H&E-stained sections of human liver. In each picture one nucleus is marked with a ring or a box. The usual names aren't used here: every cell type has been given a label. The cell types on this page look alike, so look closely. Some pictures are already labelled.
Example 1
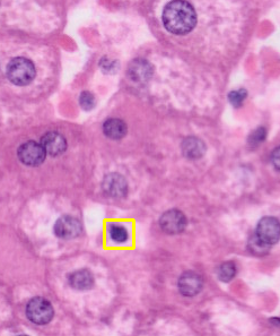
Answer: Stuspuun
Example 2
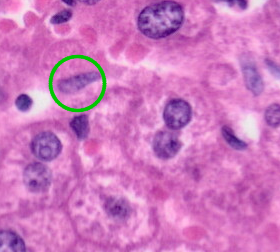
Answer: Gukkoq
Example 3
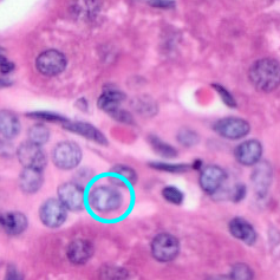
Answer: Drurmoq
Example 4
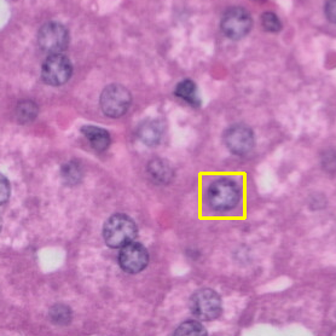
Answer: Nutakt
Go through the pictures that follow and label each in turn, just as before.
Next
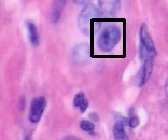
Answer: Drurmoq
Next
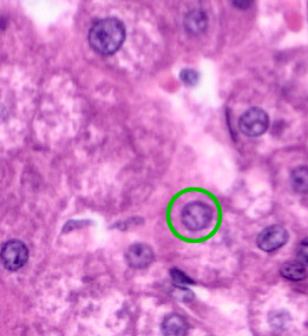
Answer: Nutakt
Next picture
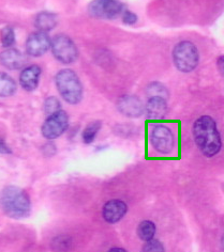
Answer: Drurmoq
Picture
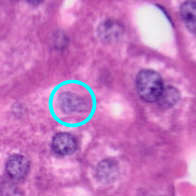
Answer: Gukkoq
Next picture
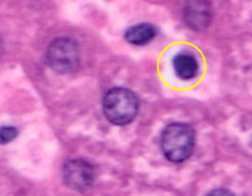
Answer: Stuspuun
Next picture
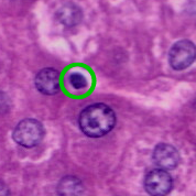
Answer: Stuspuun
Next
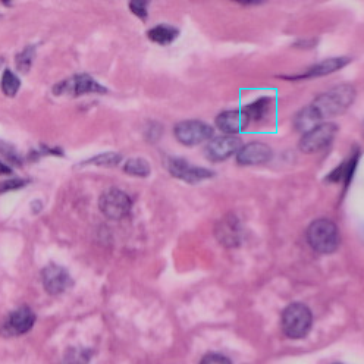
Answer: Drurmoq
